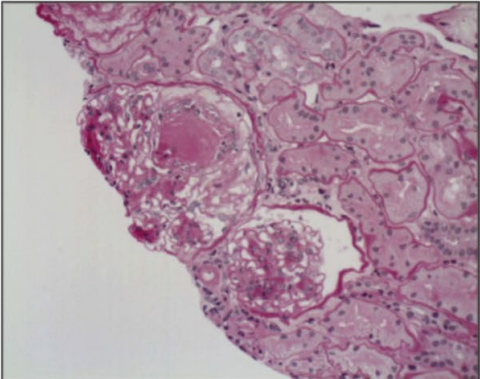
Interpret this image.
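This is kidney cortex with two glomeruli beside tubules at the edge of the tissue. In the upper glomerulus a large, round, smooth pink mass of matrix with few nuclei bulges within the tuft, pushing the capillary loops aside; this is a nodular lesion of the mesangium. The surrounding tubules are lined by cuboidal cells with pink basement membranes.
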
